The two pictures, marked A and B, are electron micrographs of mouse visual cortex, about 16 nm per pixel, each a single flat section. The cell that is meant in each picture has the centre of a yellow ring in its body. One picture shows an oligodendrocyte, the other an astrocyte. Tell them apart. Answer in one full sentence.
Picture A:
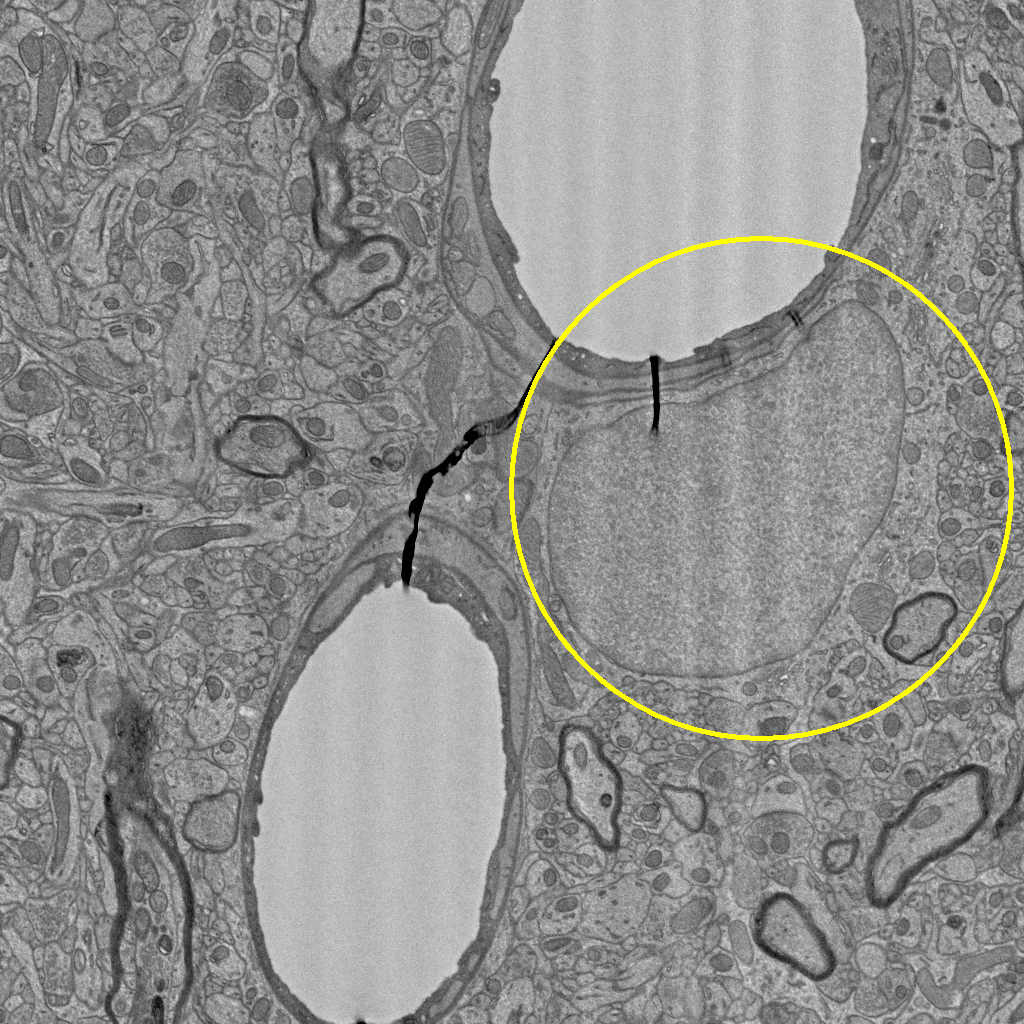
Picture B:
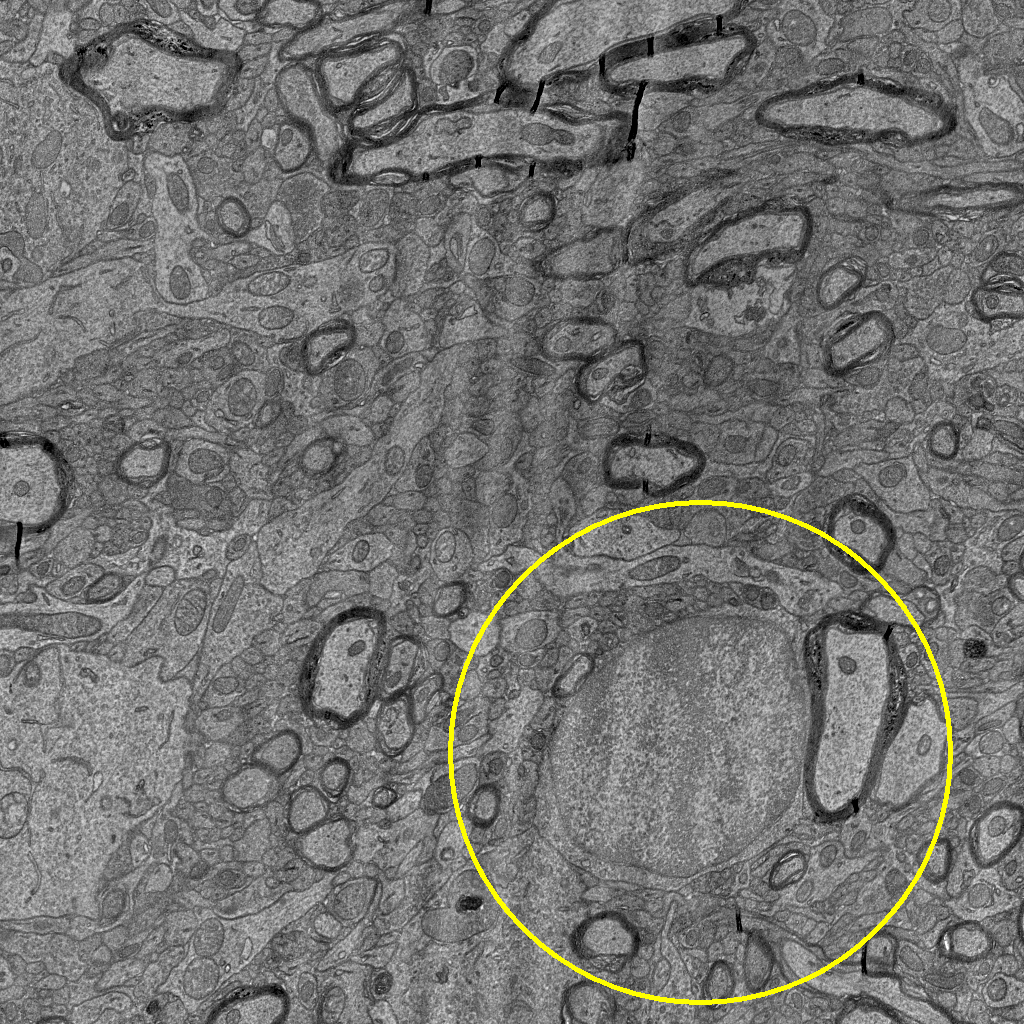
Picture A shows an astrocyte and picture B shows an oligodendrocyte.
